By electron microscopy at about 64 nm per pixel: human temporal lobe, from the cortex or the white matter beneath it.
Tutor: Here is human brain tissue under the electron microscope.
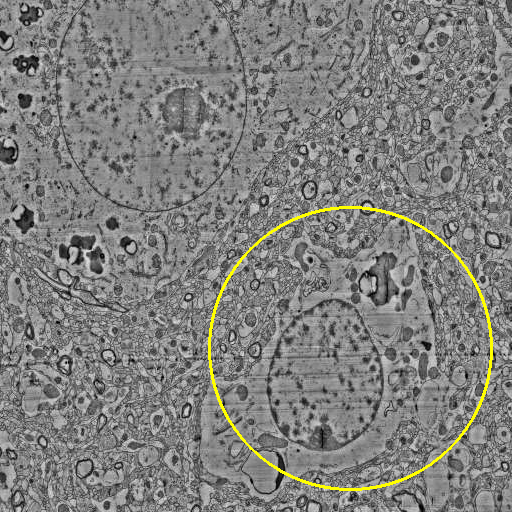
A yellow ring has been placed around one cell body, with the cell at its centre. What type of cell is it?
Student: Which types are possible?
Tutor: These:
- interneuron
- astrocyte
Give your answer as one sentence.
What the ring picks out here is an astrocyte.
